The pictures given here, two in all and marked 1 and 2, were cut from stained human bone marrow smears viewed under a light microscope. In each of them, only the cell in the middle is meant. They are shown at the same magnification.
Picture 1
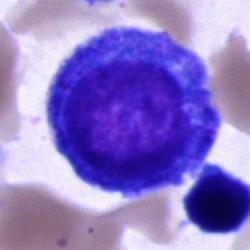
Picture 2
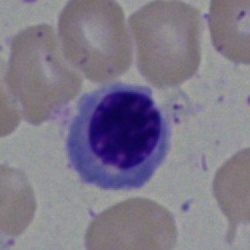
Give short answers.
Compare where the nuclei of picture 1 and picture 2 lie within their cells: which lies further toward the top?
2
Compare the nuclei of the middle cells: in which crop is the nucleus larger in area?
1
